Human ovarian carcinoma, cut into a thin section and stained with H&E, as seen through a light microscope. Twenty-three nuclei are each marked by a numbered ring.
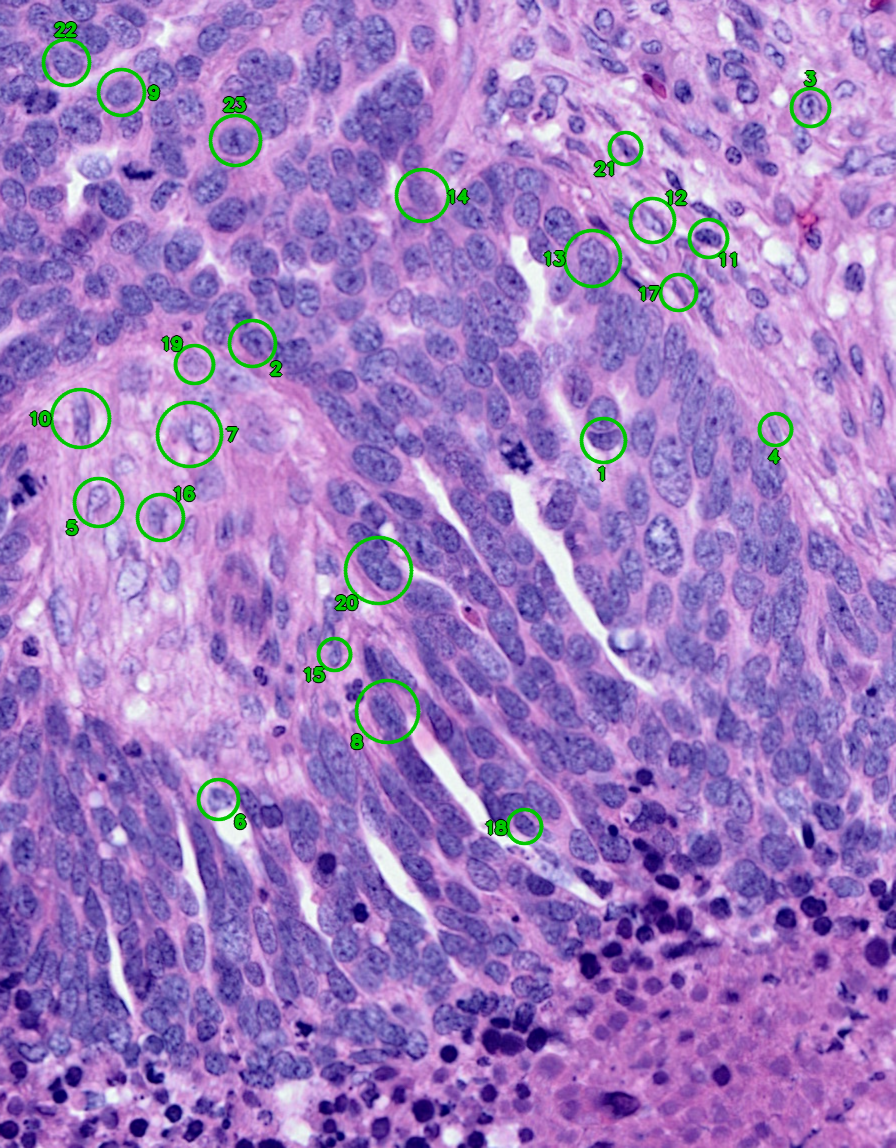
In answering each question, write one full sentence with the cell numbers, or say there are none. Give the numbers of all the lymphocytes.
Cell 11 is the only numbered cell that is a lymphocyte.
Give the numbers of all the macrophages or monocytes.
Across all the numbered cells, only number 6 is a macrophage or monocyte.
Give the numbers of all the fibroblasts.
The cells marked by the numbers 3, 4, 5, 7, 10, 12, 15, 16, 17, 19 and 21 are fibroblasts.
